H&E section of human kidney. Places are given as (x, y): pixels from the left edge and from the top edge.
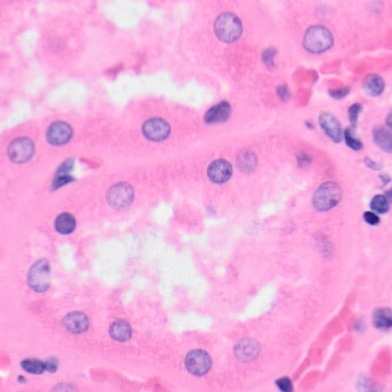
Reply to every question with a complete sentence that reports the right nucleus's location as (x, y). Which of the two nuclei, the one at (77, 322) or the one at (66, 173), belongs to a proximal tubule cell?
The pair contains one nucleus of a proximal tubule cell, namely the one at (77, 322).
